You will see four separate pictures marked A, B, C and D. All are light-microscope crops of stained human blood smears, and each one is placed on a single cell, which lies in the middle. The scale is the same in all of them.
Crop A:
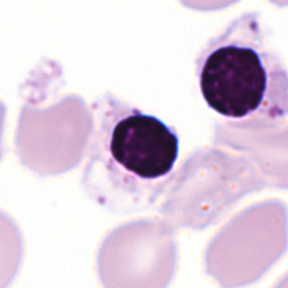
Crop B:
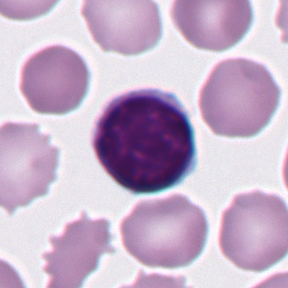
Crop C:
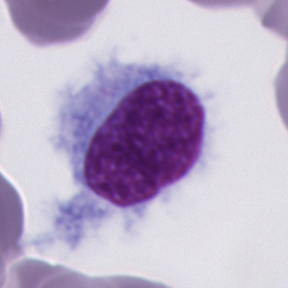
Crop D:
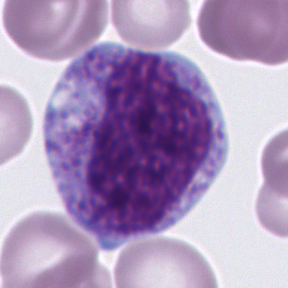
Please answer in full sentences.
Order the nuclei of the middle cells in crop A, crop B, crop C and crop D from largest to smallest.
Going down, they run D, C, B, A.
